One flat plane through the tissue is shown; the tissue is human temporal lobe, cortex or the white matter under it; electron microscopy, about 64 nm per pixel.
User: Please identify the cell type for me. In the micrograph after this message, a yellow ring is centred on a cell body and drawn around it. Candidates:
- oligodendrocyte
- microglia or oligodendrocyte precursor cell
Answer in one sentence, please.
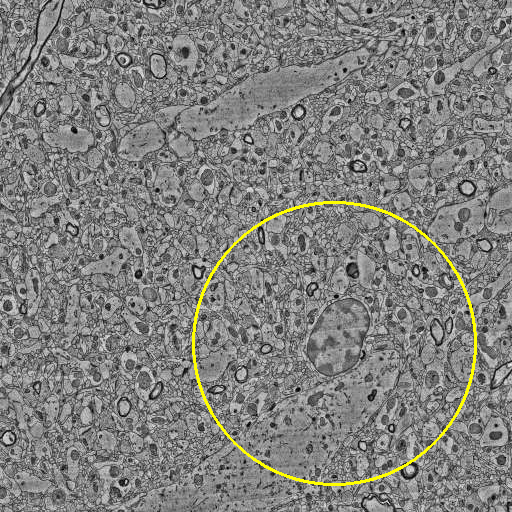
The ring is drawn around the cell body of a microglial cell or oligodendrocyte precursor cell.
